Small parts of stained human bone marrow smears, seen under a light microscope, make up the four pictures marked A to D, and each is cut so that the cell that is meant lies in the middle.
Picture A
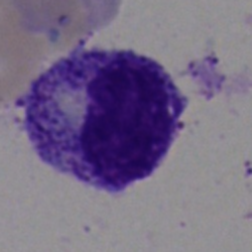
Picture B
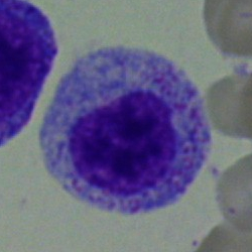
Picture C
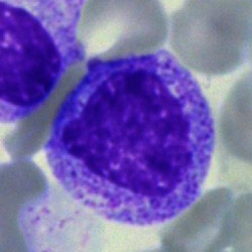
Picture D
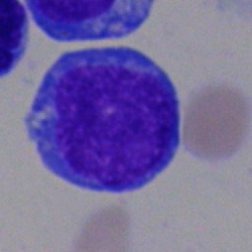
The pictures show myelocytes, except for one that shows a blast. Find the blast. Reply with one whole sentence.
It is picture D that shows the blast.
